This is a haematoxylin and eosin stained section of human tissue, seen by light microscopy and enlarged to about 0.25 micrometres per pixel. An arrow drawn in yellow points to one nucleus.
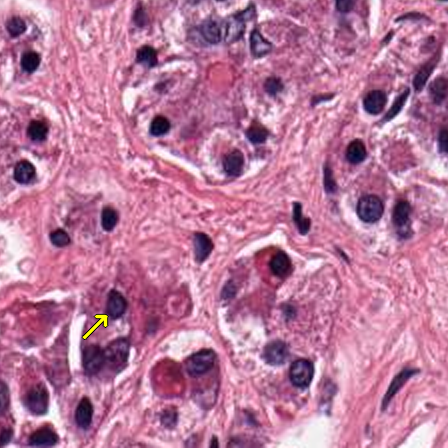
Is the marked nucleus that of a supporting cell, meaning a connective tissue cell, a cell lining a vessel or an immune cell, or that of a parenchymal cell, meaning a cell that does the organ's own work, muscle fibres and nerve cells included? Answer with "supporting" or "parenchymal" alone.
parenchymal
